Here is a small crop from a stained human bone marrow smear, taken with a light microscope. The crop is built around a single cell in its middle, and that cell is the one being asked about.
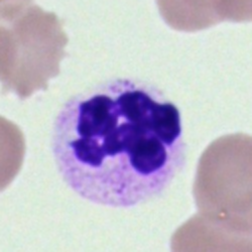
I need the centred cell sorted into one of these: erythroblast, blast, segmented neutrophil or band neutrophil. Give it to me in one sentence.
What the crop centres on is a segmented neutrophil.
